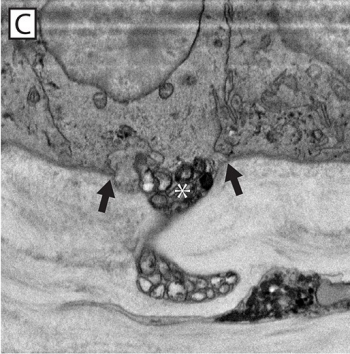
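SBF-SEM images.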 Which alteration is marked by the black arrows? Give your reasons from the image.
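The arrows flank a gap in the thin dark line at the base of the cellular layer. The bundle marked by the asterisk lies within that gap, between the cellular layer and the pale fibrous layer.
Hence: discontinuity in the basal lamina.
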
